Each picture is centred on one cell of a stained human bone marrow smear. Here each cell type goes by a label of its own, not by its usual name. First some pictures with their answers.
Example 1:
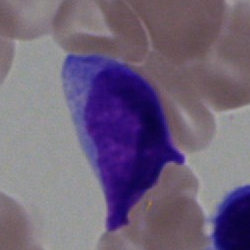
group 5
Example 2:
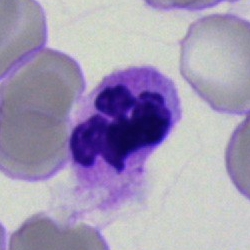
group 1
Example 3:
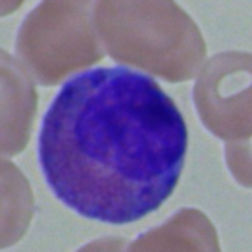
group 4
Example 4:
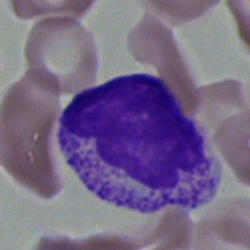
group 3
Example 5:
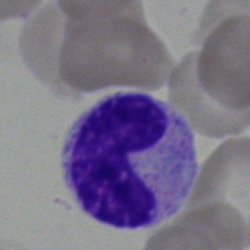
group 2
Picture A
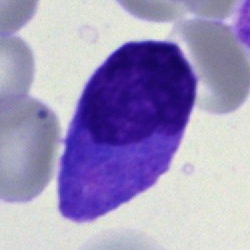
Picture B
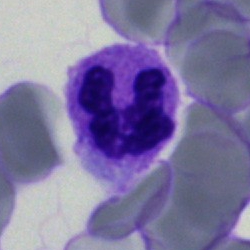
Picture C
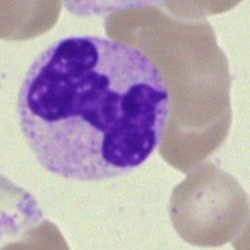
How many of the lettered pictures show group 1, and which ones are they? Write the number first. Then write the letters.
2: B, C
